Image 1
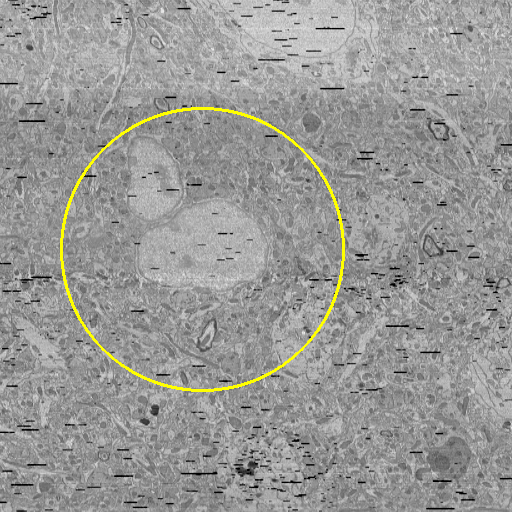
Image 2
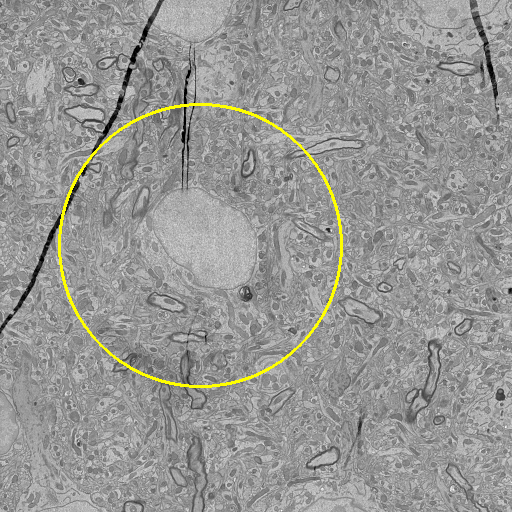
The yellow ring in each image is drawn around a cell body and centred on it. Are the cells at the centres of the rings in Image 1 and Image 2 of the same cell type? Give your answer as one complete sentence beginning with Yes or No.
Yes, both cells are of the same type.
